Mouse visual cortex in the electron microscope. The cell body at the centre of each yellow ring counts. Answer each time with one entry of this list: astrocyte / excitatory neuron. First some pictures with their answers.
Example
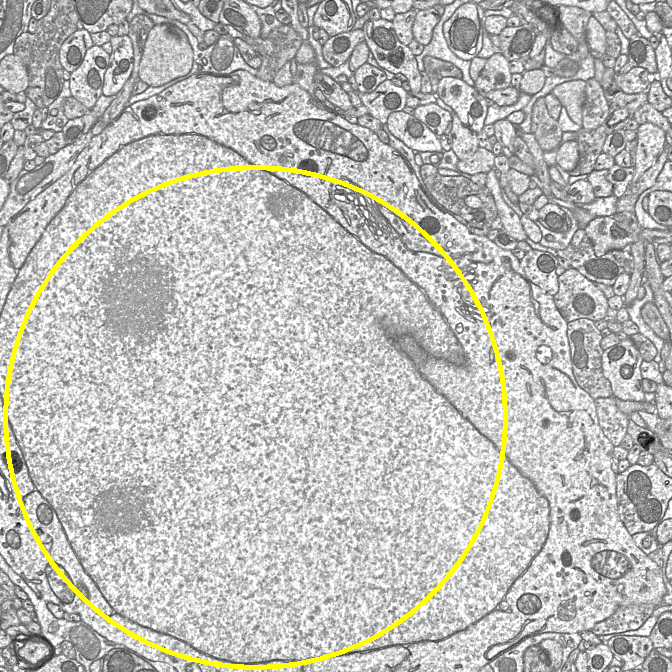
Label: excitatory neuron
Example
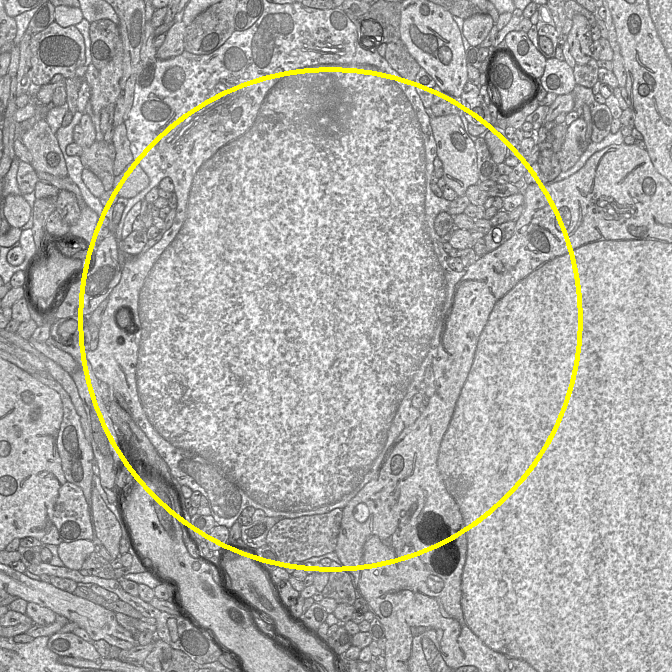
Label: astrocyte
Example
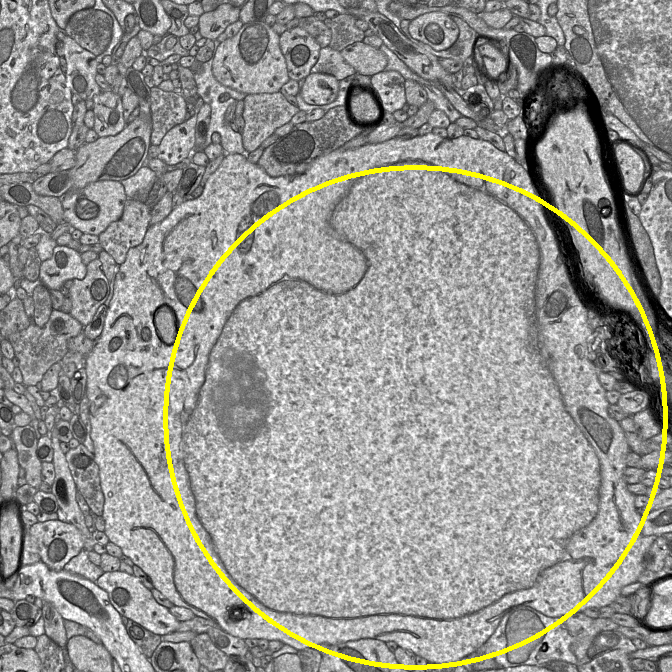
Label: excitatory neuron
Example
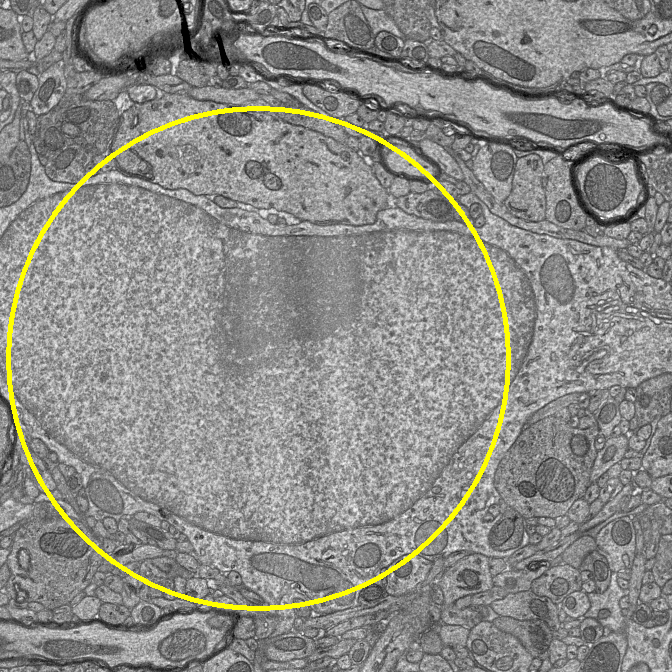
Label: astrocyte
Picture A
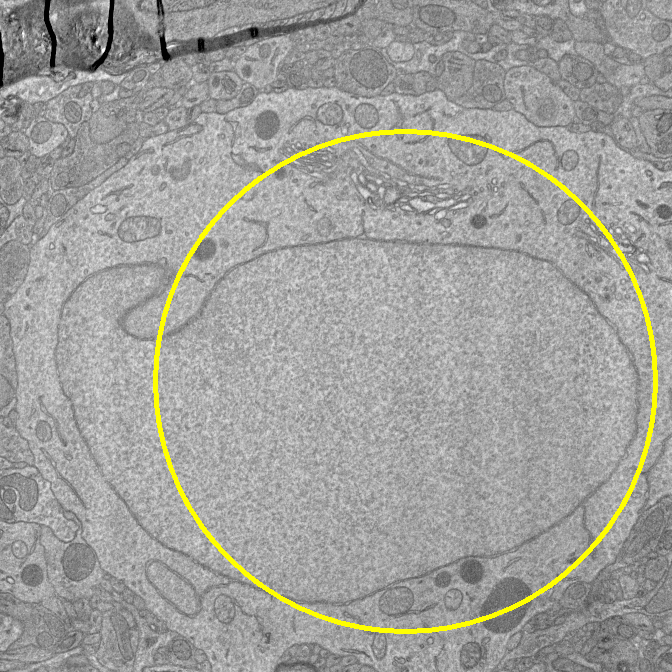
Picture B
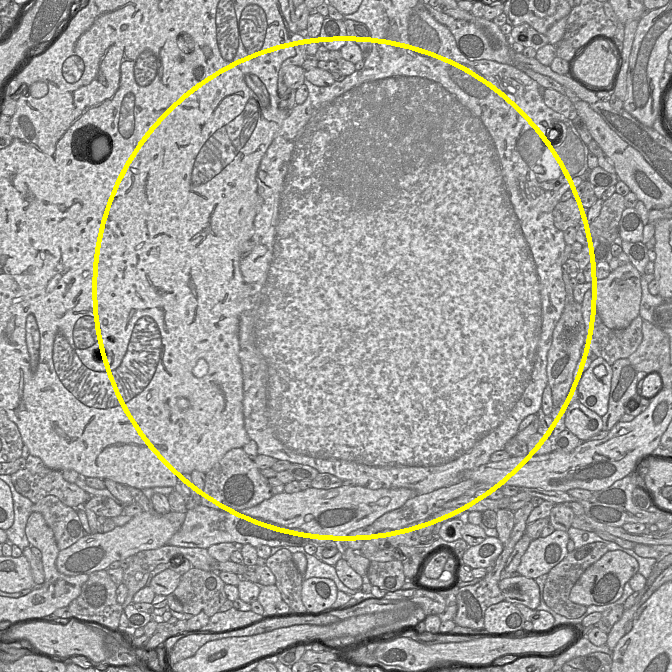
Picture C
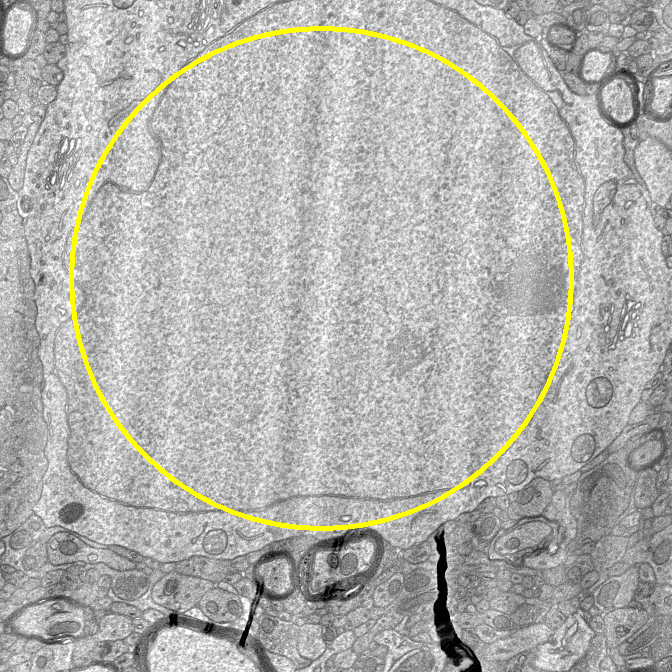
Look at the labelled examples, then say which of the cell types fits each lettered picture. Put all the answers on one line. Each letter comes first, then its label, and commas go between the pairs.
A excitatory neuron, B astrocyte, C excitatory neuron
